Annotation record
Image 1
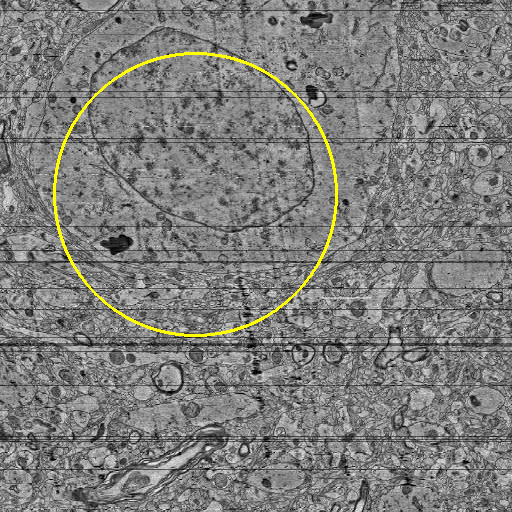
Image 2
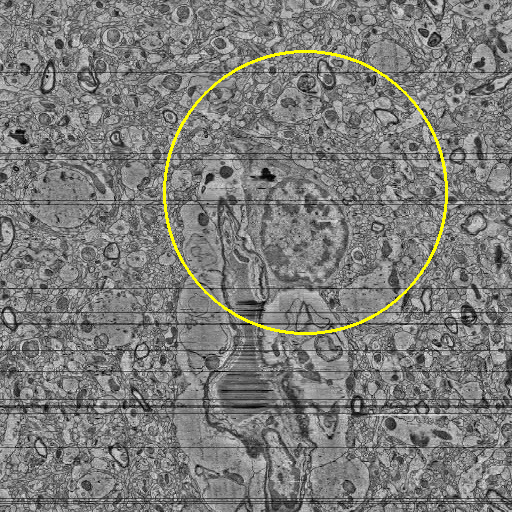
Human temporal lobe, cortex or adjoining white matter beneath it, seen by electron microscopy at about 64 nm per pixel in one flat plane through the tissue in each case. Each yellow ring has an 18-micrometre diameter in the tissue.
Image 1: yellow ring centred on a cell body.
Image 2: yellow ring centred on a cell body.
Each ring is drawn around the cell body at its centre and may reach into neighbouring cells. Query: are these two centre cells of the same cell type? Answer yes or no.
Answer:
no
